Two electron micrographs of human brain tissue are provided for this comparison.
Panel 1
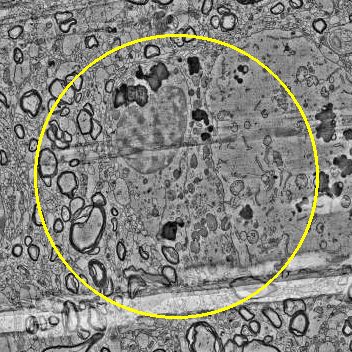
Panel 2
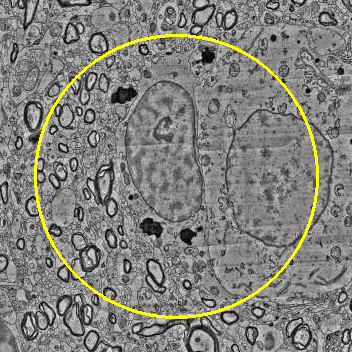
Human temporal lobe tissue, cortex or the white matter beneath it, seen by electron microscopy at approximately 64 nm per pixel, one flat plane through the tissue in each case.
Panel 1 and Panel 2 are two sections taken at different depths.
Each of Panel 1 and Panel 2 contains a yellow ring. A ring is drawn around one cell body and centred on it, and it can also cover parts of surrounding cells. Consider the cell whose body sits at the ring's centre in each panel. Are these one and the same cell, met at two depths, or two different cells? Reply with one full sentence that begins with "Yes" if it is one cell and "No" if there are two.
Yes, a single cell is the subject of both yellow rings.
